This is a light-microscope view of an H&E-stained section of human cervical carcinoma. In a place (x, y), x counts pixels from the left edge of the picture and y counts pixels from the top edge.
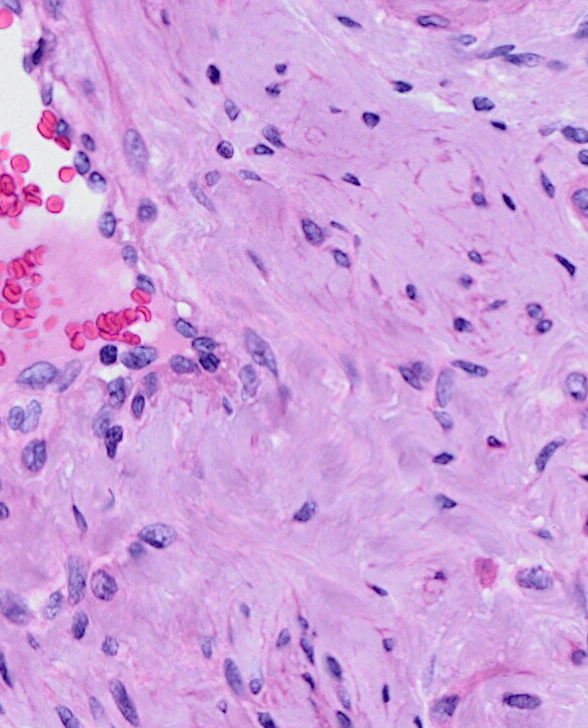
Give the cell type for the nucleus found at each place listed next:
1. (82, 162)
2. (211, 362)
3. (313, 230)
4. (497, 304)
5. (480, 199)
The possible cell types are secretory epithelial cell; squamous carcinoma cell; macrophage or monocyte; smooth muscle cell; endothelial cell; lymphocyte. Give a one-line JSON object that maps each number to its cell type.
{"1": "endothelial cell", "2": "endothelial cell", "3": "smooth muscle cell", "4": "smooth muscle cell", "5": "smooth muscle cell"}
